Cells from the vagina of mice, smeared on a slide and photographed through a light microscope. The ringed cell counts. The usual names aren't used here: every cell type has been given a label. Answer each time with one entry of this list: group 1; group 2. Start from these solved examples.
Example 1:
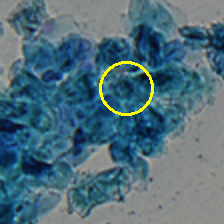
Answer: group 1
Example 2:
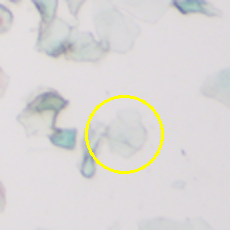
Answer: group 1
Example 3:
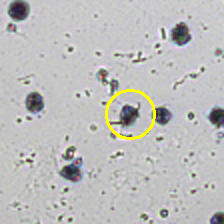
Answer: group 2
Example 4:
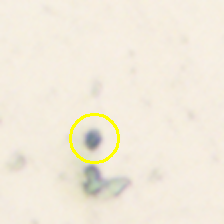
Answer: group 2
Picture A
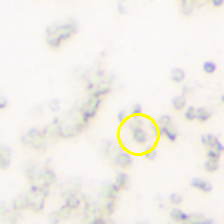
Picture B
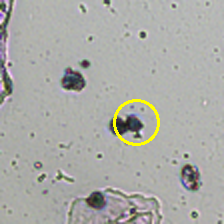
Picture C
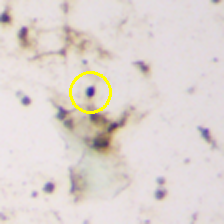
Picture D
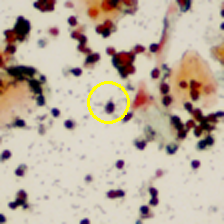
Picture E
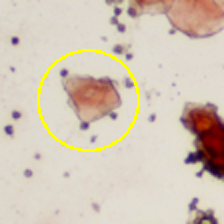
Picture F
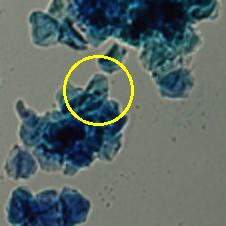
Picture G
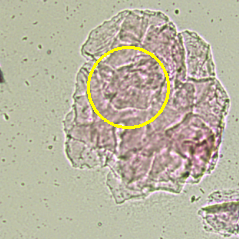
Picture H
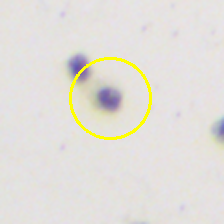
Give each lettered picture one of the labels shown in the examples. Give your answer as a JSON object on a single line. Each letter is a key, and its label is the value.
{"A": "group 2", "B": "group 2", "C": "group 2", "D": "group 2", "E": "group 1", "F": "group 1", "G": "group 1", "H": "group 2"}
